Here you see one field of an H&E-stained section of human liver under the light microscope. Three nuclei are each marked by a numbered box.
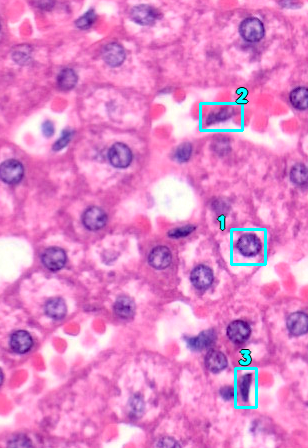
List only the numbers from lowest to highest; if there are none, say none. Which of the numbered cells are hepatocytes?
1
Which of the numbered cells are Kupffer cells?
2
